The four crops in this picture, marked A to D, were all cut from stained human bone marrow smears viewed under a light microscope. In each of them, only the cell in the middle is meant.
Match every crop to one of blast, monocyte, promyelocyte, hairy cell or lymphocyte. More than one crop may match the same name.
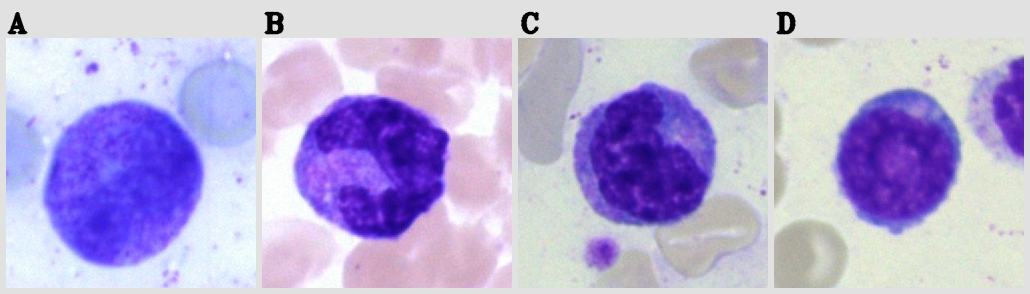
A: promyelocyte
B: monocyte
C: monocyte
D: blast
